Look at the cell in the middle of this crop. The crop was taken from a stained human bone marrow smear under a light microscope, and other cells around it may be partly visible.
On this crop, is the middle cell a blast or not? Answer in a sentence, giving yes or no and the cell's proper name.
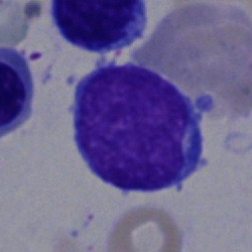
Yes, the central cell of this crop corresponds to a blast.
